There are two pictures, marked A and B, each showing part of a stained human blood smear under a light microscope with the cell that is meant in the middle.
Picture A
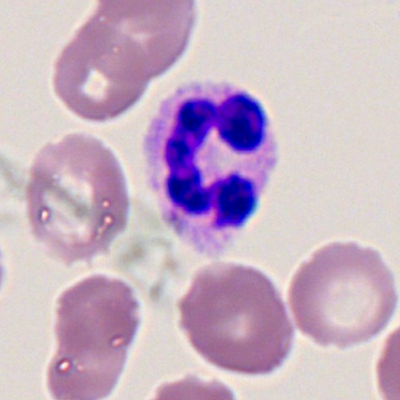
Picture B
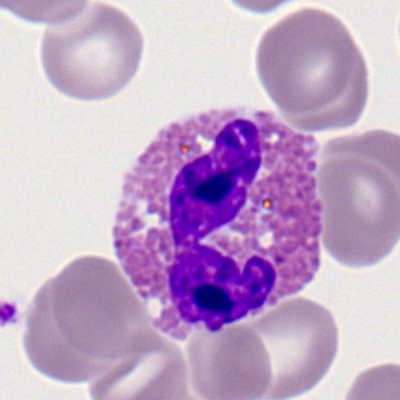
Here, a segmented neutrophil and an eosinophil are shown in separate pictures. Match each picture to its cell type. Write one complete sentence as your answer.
The cell in picture A is a segmented neutrophil, and the one in picture B is an eosinophil.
